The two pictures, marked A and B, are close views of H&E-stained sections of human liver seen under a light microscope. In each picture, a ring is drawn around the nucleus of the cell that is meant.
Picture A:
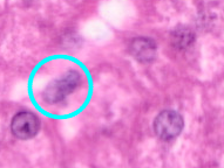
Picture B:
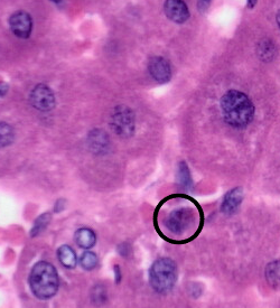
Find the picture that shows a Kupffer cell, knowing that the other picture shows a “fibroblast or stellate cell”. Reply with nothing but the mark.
A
